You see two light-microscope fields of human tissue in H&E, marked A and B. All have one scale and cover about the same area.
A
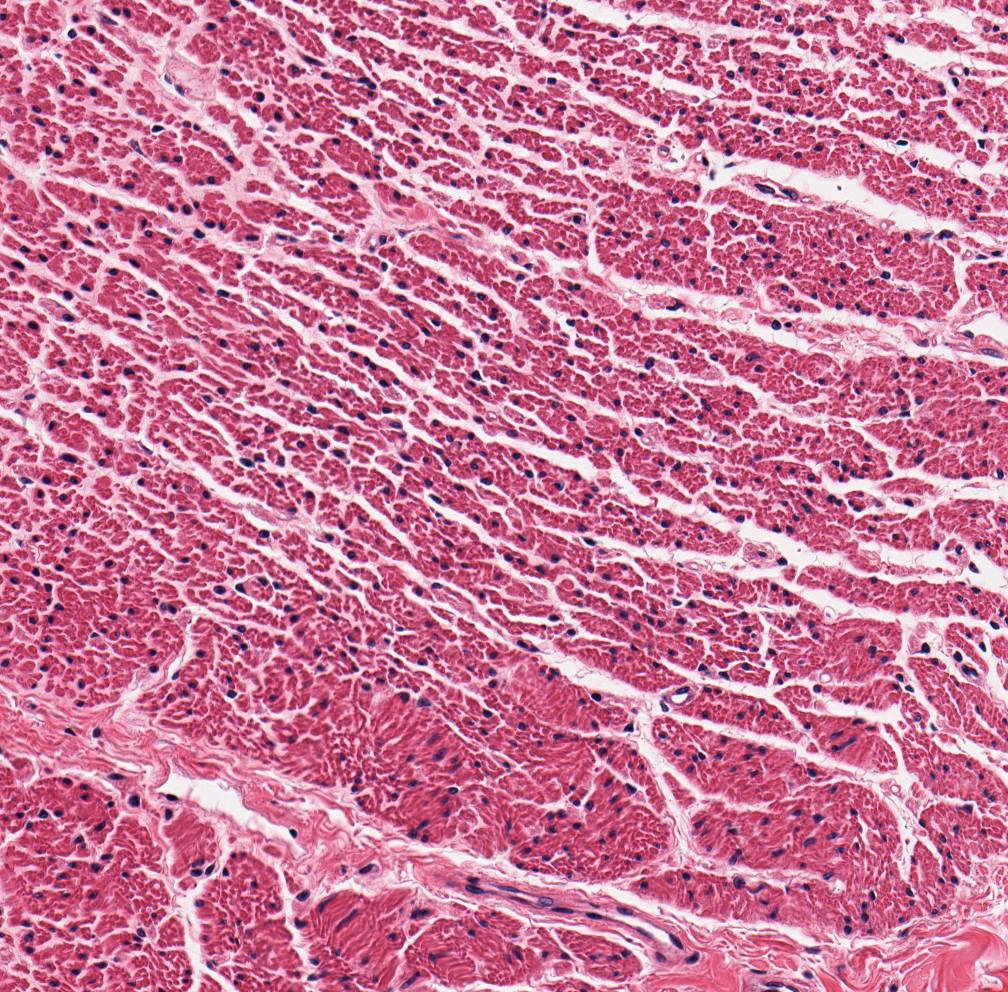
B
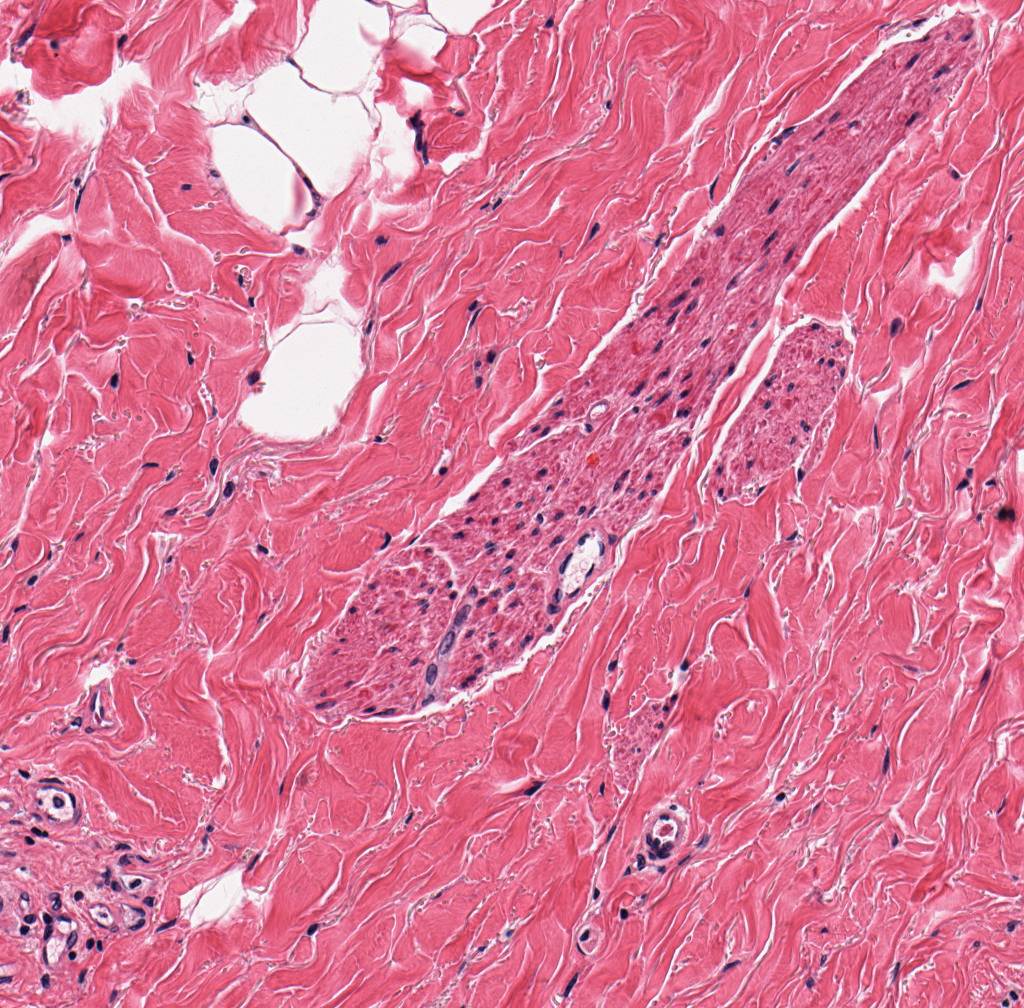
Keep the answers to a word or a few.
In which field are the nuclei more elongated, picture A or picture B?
B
